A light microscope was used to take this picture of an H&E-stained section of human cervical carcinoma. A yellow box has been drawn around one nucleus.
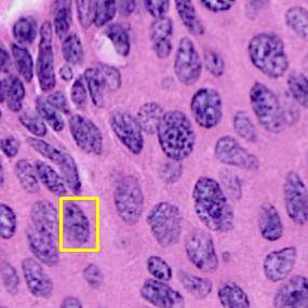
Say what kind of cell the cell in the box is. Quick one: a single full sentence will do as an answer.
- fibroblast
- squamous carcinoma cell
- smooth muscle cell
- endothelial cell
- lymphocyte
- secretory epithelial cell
Students should answer that the cell in the box is a squamous carcinoma cell.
